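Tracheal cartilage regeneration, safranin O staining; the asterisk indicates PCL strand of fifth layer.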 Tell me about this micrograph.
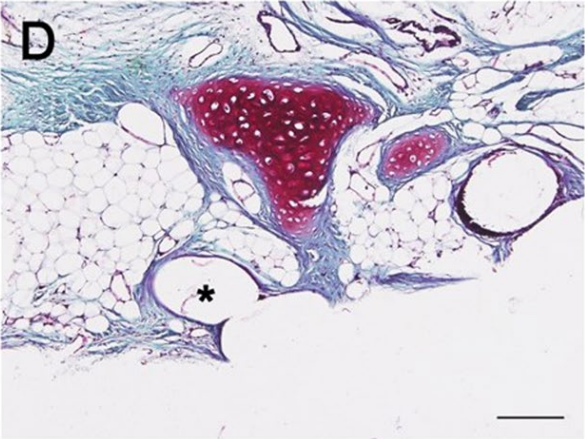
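Within blue-green fibrous tissue and sheets of fat cells lie two compact islands of intensely red-stained matrix, one larger and triangular, one small and round. Both islands are packed with small rounded cells in pale lacunae. Around them lie large round empty spaces and lobules of fat cells. These red islands are immature cartilaginous islets embedded in fibrous and fatty tissue.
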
